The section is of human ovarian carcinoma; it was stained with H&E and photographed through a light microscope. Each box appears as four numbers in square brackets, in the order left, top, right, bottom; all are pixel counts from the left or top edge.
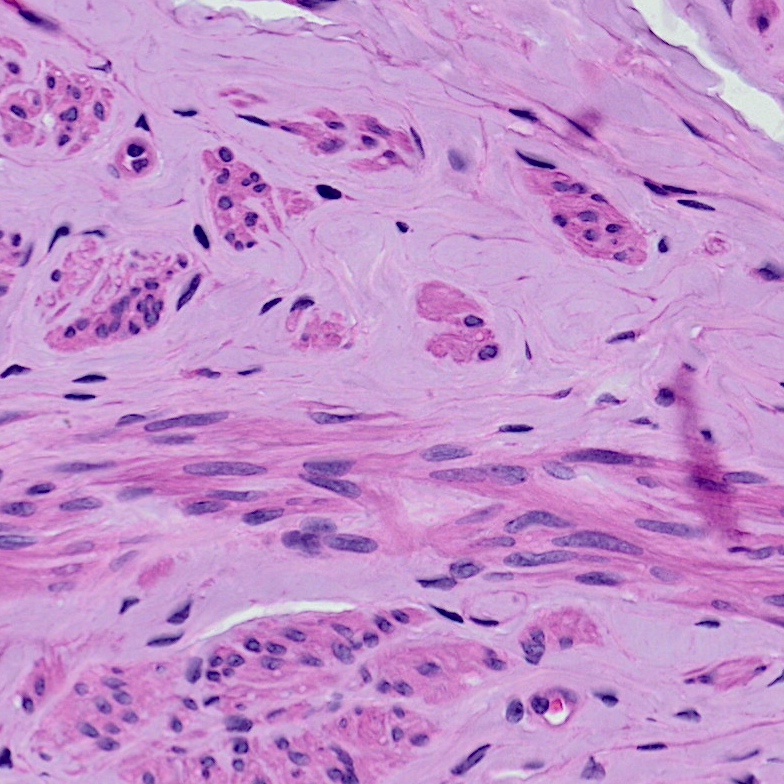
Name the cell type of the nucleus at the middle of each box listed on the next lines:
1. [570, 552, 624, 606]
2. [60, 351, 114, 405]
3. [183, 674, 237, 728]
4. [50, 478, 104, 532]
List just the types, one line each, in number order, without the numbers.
smooth muscle cell
fibroblast
smooth muscle cell
smooth muscle cell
